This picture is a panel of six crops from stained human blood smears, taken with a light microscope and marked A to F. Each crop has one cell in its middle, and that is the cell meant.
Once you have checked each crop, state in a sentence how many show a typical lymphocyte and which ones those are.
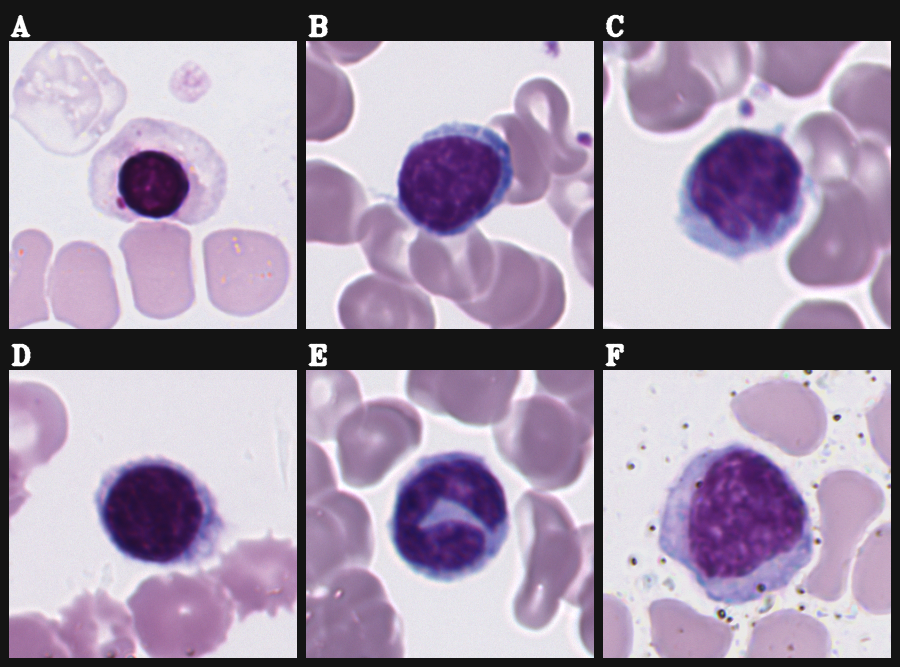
One crop alone shows a typical lymphocyte, and that is the crop marked B.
